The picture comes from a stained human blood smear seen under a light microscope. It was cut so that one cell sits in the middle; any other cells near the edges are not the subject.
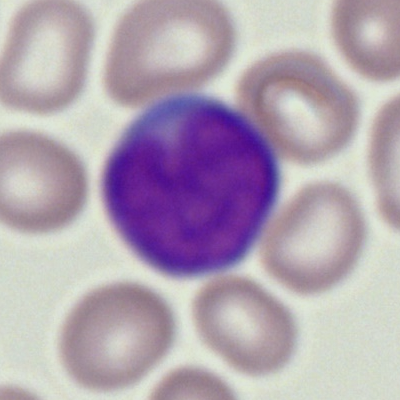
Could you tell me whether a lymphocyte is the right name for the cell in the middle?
no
